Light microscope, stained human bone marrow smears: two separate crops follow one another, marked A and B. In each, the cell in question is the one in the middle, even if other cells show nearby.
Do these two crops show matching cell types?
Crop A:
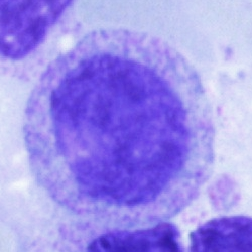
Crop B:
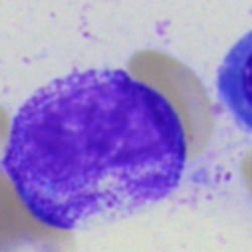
yes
